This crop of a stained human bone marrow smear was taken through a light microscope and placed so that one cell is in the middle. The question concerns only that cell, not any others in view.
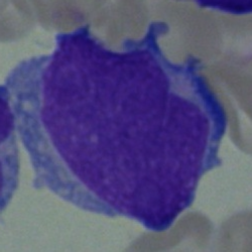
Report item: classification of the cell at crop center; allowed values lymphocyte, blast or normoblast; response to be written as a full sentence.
At the center of the crop sits a blast.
